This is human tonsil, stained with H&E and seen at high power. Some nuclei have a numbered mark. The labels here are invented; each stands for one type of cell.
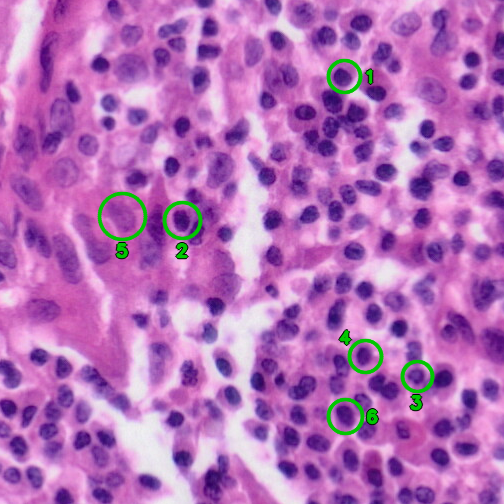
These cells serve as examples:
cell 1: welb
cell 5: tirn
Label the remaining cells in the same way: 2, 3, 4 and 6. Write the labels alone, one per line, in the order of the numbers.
tirn
welb
welb
welb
